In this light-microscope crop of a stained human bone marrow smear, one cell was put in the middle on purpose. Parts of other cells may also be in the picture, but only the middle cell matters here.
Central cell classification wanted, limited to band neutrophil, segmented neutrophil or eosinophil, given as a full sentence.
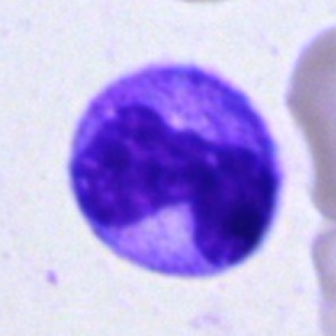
This crop's central cell is a band neutrophil.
